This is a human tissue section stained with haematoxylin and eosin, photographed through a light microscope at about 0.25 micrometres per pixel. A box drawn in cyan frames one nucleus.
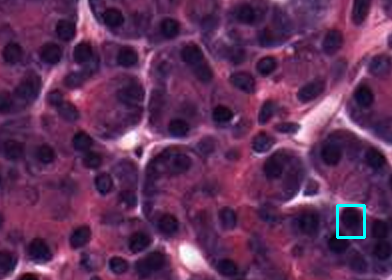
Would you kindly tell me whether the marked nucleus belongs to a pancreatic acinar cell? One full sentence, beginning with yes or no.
Yes, the marked nucleus is present within a pancreatic acinar cell.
